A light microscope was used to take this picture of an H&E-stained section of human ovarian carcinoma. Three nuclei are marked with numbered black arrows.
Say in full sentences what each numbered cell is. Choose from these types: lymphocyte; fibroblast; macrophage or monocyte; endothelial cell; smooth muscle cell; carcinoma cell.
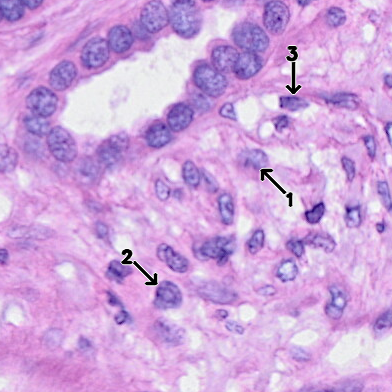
Cell 1 is a fibroblast. Cells 2 and 3 are macrophages or monocytes.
